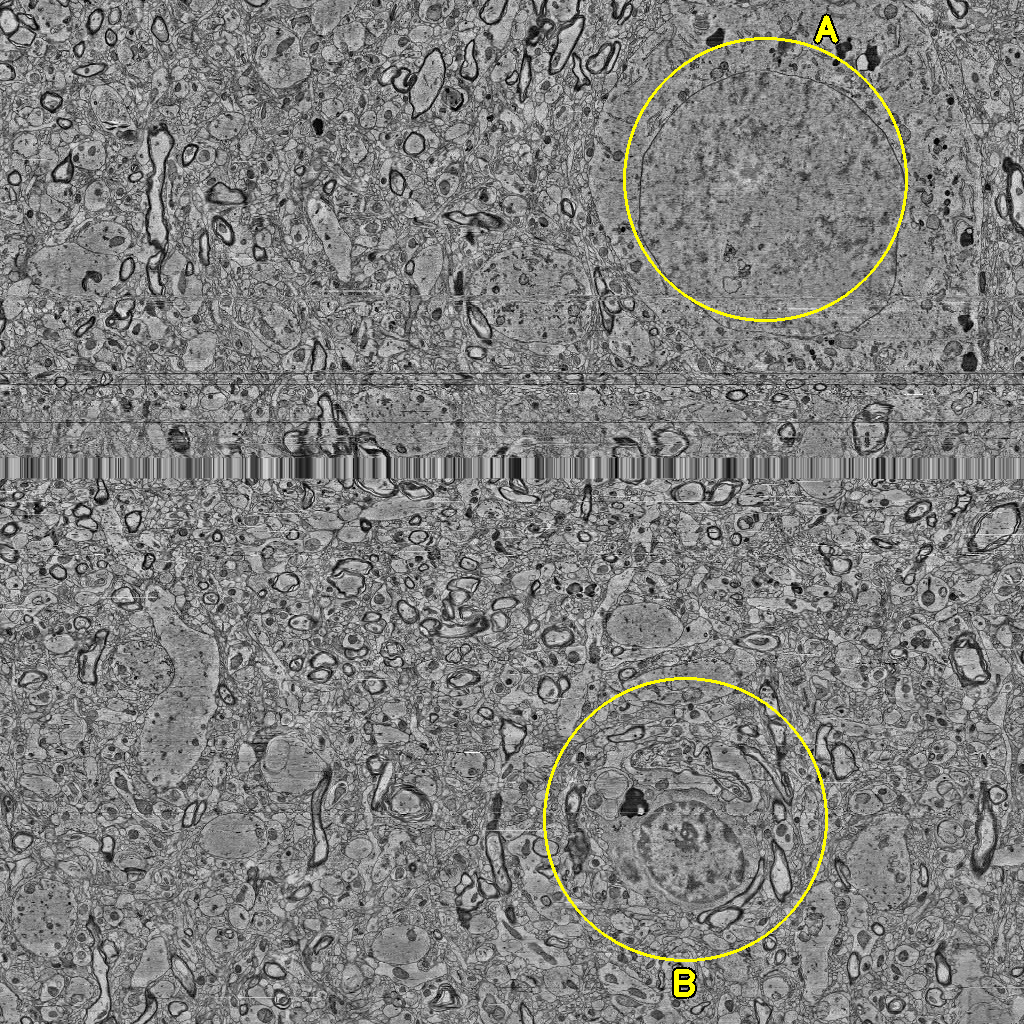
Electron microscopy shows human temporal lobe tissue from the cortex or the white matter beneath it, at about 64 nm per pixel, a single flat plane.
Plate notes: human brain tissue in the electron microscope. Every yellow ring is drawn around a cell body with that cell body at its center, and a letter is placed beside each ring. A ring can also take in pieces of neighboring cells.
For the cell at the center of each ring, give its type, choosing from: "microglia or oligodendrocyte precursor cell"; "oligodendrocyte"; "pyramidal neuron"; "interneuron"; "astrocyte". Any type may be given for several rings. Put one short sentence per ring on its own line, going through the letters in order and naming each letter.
Ring A shows a pyramidal neuron at the center.
Ring B shows an oligodendrocyte at the center.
